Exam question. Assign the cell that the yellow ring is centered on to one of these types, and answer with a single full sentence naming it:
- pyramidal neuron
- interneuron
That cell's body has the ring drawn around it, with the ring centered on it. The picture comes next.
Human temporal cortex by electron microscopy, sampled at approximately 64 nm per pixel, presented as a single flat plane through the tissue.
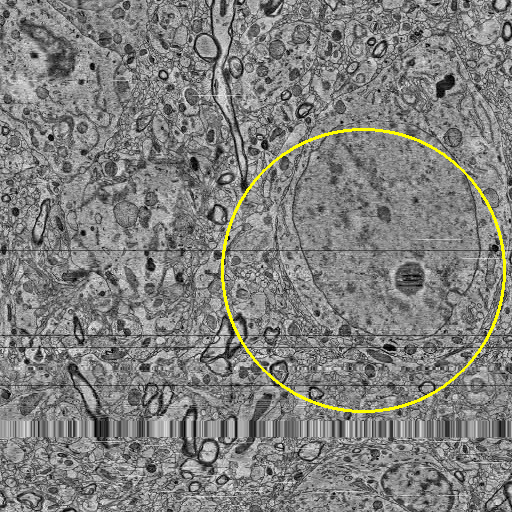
In the micrograph, the cell the yellow ring is centered on is a pyramidal neuron.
